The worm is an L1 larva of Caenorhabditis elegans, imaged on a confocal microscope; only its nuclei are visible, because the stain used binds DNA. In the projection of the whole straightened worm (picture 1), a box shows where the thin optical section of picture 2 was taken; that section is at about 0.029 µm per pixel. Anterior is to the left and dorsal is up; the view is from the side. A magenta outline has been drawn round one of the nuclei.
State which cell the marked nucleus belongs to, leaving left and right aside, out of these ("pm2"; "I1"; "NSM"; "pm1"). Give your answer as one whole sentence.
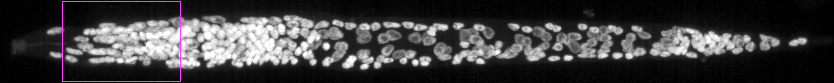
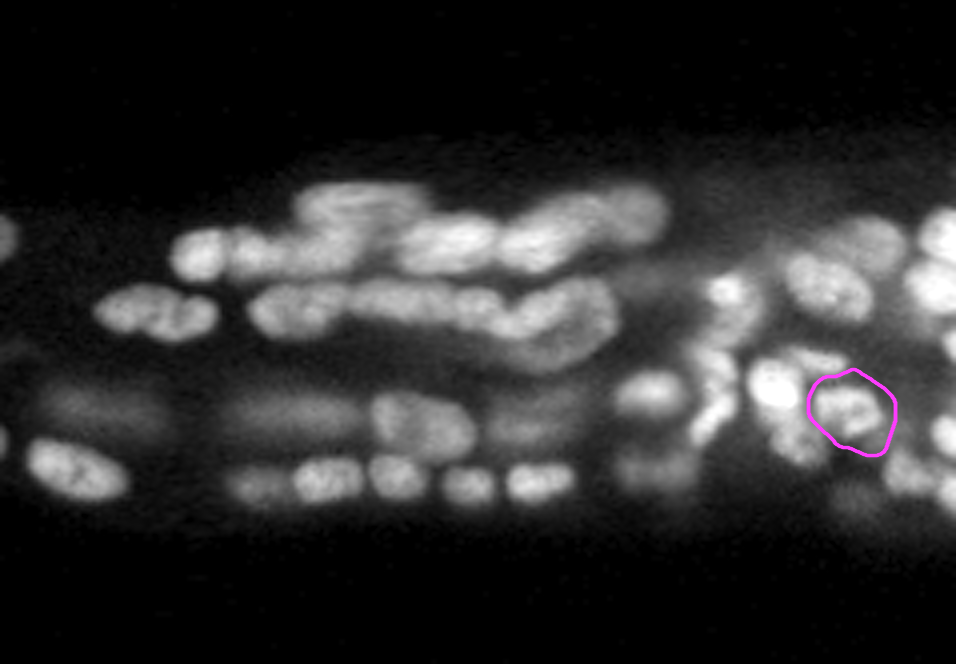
The marked nucleus belongs to NSM, a neuron.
